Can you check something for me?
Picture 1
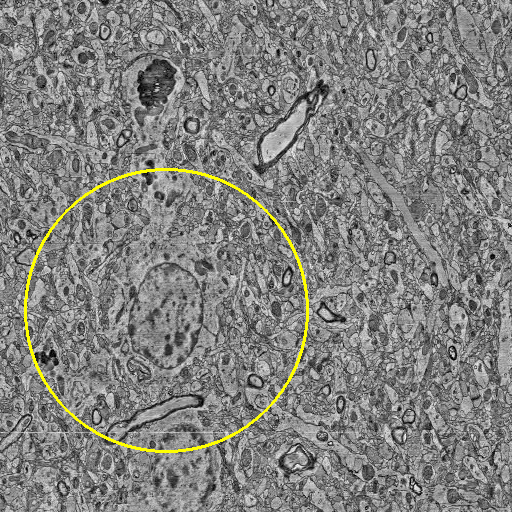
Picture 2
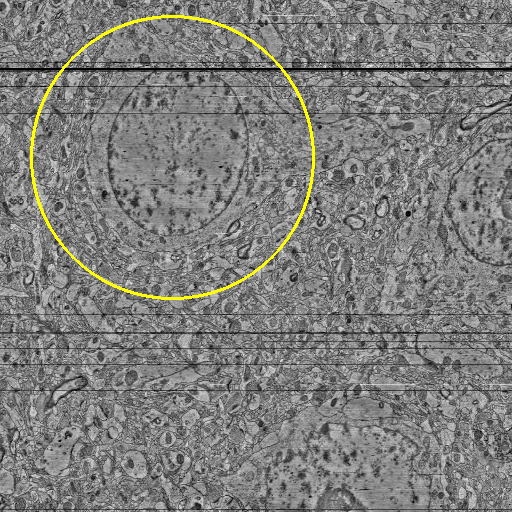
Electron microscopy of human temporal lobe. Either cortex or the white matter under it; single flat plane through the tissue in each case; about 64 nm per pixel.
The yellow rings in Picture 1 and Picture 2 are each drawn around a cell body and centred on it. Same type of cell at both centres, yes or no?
no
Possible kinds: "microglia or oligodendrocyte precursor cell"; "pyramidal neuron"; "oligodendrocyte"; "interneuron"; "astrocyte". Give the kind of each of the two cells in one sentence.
The cell in the second picture is a pyramidal neuron, and that in the first is an astrocyte.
